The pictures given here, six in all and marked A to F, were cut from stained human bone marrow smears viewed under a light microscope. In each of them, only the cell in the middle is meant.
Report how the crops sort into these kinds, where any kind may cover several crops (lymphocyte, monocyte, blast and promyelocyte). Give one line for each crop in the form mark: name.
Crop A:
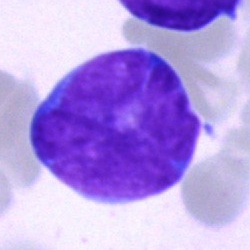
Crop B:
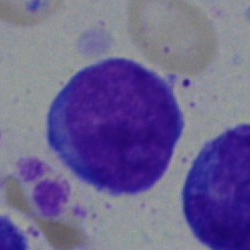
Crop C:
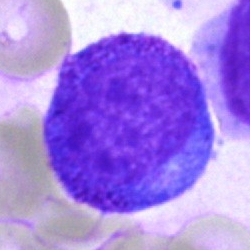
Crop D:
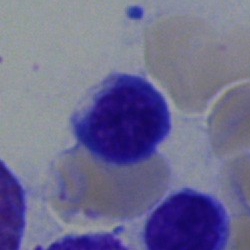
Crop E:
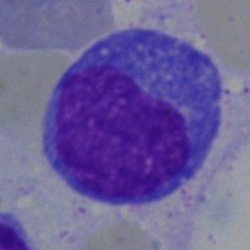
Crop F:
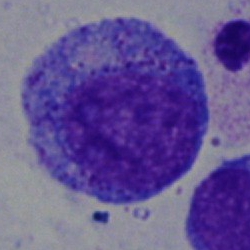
A: blast
B: blast
C: promyelocyte
D: lymphocyte
E: promyelocyte
F: promyelocyte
